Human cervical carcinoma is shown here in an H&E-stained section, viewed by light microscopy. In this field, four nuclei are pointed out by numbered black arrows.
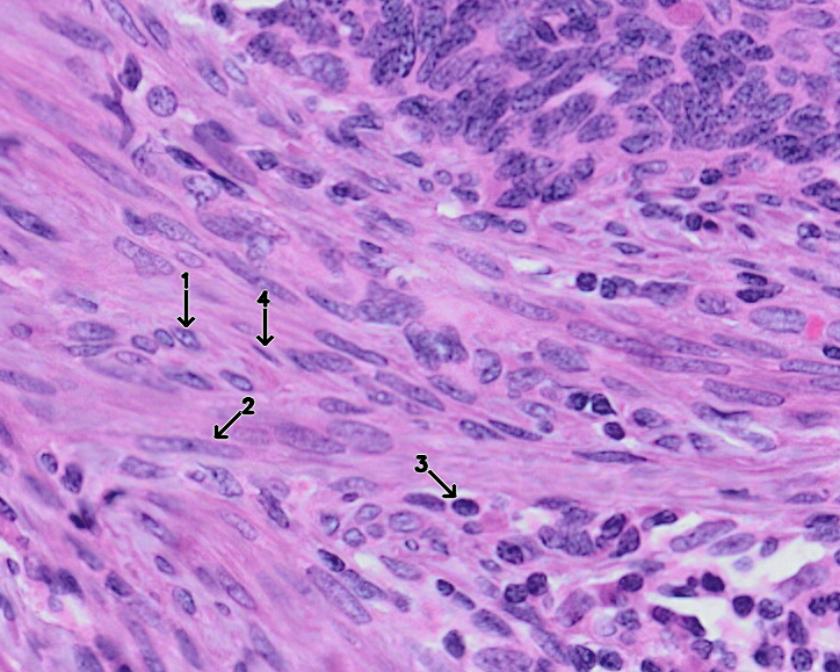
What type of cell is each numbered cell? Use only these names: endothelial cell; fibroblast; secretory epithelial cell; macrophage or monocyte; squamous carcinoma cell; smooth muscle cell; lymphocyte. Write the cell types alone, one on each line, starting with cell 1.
smooth muscle cell
smooth muscle cell
lymphocyte
smooth muscle cell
